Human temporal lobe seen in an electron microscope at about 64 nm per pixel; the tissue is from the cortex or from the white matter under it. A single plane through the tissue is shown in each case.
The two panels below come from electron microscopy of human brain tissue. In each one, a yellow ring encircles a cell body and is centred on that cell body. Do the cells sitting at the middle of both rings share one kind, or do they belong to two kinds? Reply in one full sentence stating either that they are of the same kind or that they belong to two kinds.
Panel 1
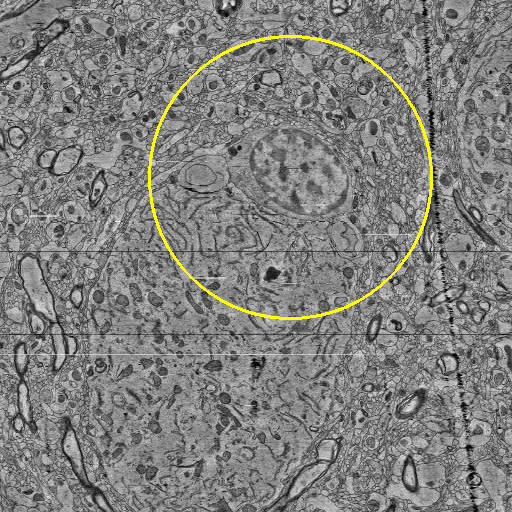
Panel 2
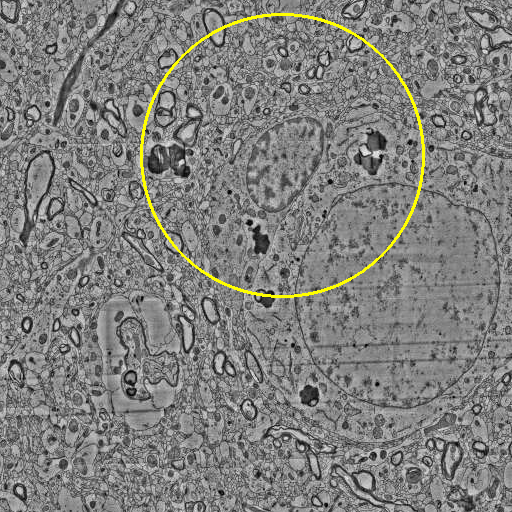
The cells at the centres of the two rings are of the same kind.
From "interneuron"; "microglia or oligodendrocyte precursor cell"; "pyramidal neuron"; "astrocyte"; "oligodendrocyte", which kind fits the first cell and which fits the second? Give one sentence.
Both rings mark an oligodendrocyte, one in each picture.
